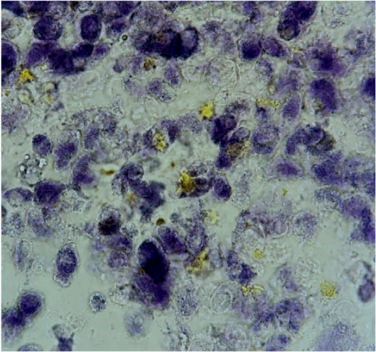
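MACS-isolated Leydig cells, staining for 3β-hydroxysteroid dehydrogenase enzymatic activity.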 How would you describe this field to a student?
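Some cells in the field are pale and scarcely coloured, and their outlines show only faintly. Small yellow to golden-brown granular specks are scattered among the cells.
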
